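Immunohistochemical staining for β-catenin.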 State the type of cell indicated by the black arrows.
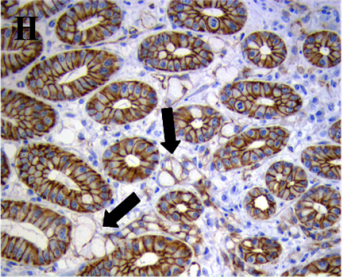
Signet ring cells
